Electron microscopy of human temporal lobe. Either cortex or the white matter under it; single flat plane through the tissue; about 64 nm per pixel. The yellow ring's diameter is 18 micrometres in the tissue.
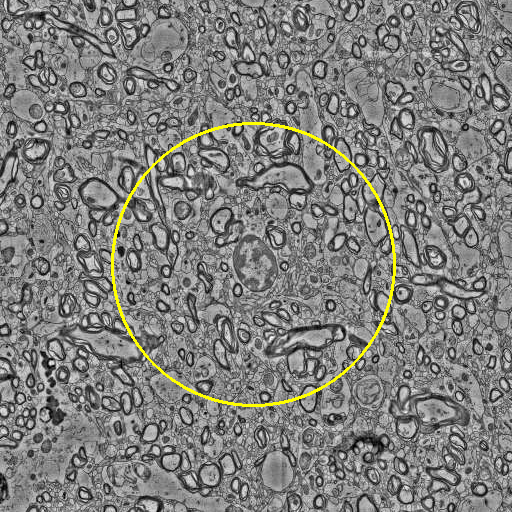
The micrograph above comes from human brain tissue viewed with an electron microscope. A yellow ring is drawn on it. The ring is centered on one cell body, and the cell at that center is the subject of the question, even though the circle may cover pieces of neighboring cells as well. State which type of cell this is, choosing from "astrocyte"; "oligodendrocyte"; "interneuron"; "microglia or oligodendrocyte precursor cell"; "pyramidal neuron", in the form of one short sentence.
The cell the ring is centered on is a microglial cell or oligodendrocyte precursor cell.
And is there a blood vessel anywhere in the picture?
No, there is none.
